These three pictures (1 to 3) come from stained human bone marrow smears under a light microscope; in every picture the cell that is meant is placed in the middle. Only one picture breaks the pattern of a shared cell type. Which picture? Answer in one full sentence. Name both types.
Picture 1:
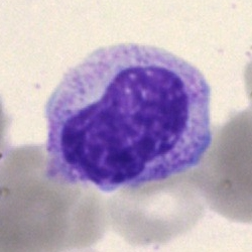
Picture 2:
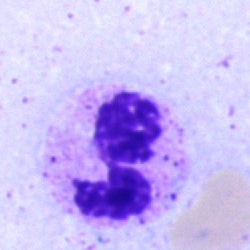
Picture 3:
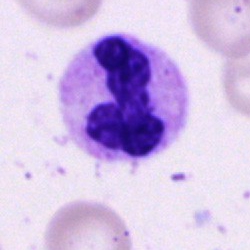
Unlike the rest, which show segmented neutrophils, picture 1 shows a metamyelocyte.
